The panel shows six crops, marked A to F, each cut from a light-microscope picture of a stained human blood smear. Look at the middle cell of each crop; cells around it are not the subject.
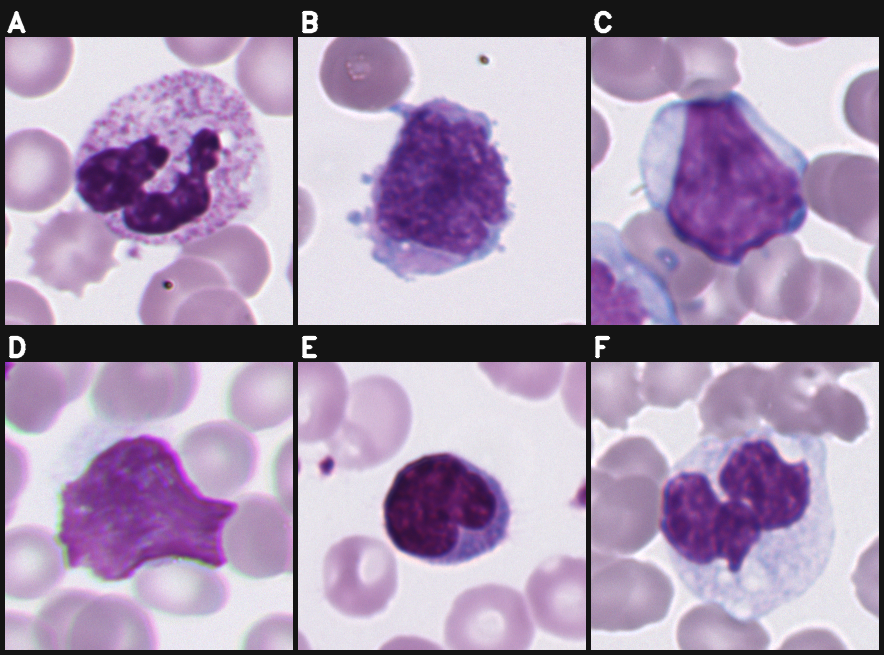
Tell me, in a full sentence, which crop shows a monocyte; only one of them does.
The cell at the center of crop F is the one that is a monocyte.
